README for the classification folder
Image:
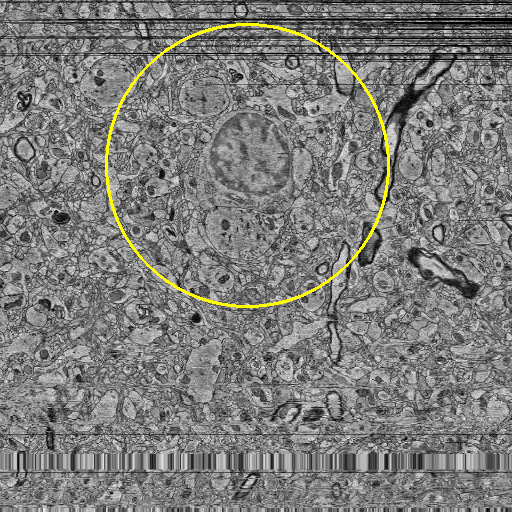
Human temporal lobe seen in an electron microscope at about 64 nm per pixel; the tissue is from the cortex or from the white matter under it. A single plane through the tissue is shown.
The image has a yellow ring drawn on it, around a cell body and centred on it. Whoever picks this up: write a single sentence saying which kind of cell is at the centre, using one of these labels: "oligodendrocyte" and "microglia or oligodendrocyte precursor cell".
This cell body is that of an oligodendrocyte.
